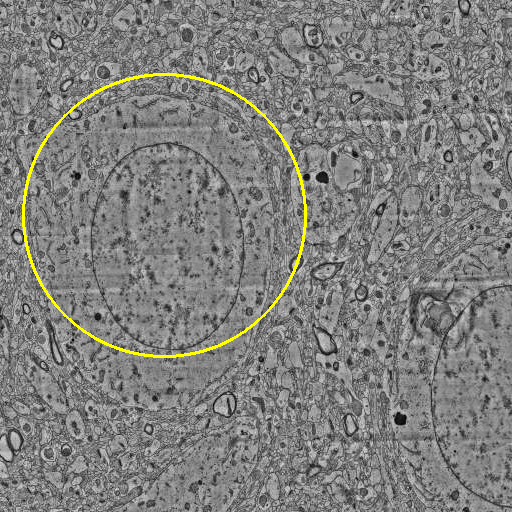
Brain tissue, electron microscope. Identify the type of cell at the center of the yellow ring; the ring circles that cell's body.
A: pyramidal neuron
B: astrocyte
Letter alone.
A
